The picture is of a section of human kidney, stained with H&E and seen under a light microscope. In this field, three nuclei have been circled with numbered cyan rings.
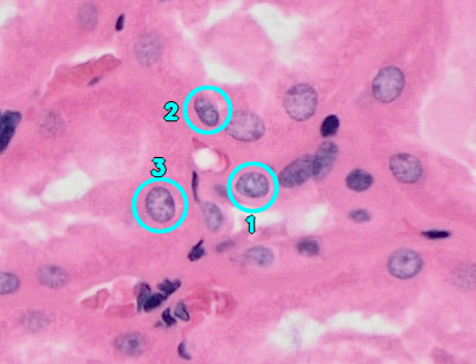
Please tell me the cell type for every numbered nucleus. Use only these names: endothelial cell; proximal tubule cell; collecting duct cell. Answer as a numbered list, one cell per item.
1. collecting duct cell
2. proximal tubule cell
3. proximal tubule cell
